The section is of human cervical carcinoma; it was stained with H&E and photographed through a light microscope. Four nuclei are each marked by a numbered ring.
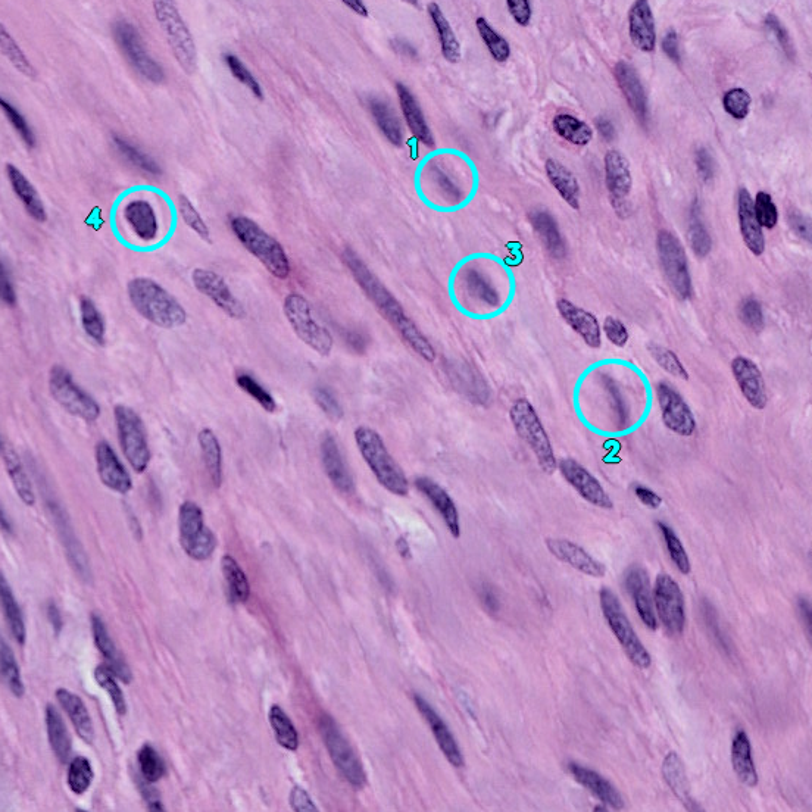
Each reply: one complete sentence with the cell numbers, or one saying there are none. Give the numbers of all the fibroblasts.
The cells with the numbers 1, 2 and 3 are fibroblasts.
